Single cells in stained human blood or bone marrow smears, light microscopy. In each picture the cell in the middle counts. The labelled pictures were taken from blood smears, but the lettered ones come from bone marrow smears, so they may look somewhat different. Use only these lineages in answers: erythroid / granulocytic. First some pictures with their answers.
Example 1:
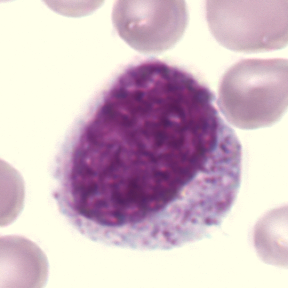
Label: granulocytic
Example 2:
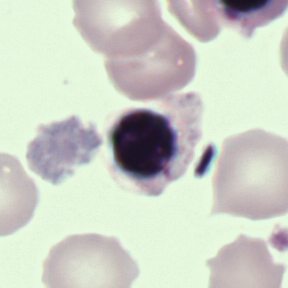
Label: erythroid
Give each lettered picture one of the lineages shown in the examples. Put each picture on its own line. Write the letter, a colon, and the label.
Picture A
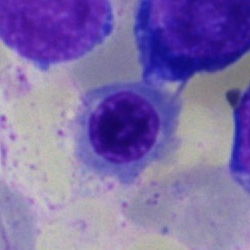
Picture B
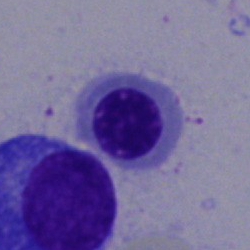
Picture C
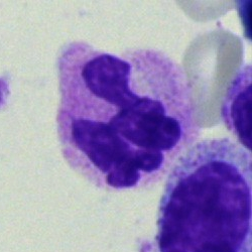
A: erythroid
B: erythroid
C: granulocytic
